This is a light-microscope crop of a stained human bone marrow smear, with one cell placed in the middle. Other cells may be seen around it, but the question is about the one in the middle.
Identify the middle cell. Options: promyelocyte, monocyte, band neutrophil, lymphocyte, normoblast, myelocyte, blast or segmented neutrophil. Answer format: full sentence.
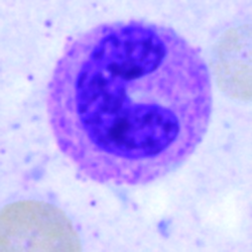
At the middle of the frame sits a band neutrophil.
